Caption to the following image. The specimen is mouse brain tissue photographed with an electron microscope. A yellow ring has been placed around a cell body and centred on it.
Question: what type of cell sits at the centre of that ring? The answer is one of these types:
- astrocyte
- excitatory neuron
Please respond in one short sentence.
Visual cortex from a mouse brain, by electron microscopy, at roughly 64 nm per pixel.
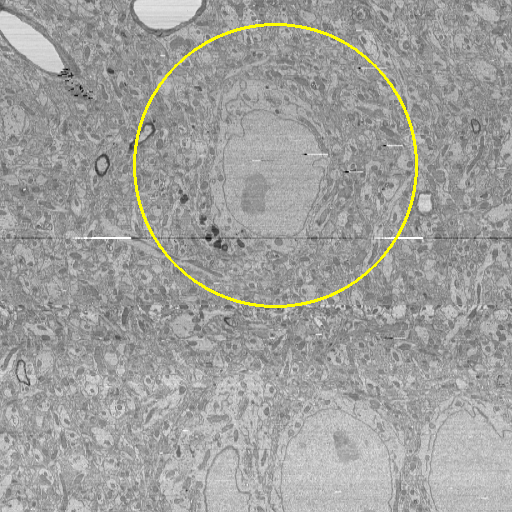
The ring surrounds the cell body of an excitatory neuron.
